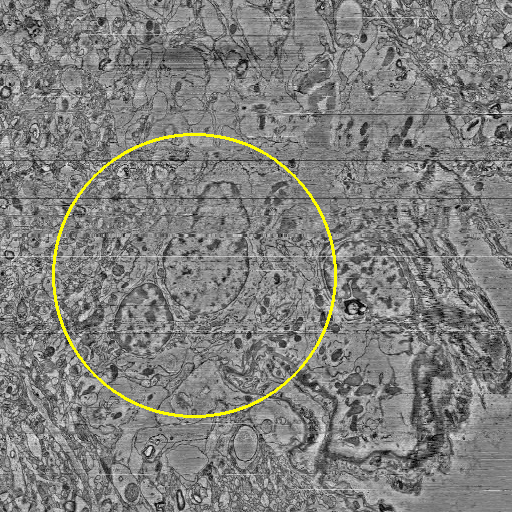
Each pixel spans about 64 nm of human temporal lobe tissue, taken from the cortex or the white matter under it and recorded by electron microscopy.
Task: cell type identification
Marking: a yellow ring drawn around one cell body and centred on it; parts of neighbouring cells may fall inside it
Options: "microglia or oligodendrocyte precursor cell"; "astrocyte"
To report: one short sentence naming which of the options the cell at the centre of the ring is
The cell at the centre of the ring is a microglial cell or oligodendrocyte precursor cell.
